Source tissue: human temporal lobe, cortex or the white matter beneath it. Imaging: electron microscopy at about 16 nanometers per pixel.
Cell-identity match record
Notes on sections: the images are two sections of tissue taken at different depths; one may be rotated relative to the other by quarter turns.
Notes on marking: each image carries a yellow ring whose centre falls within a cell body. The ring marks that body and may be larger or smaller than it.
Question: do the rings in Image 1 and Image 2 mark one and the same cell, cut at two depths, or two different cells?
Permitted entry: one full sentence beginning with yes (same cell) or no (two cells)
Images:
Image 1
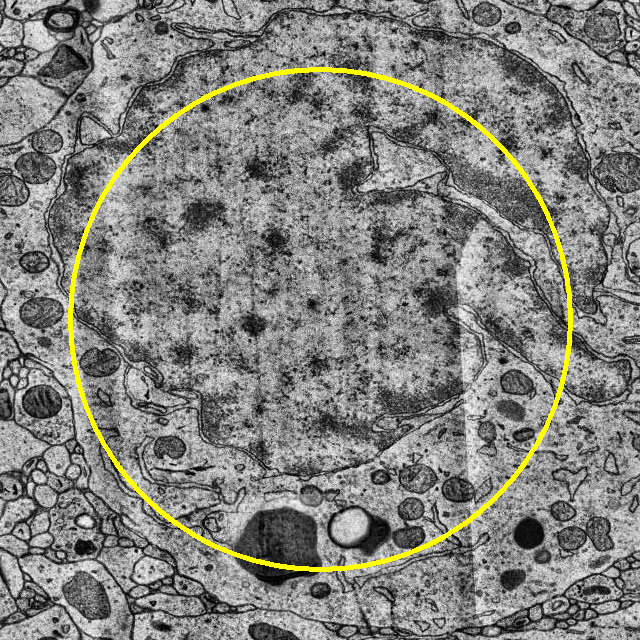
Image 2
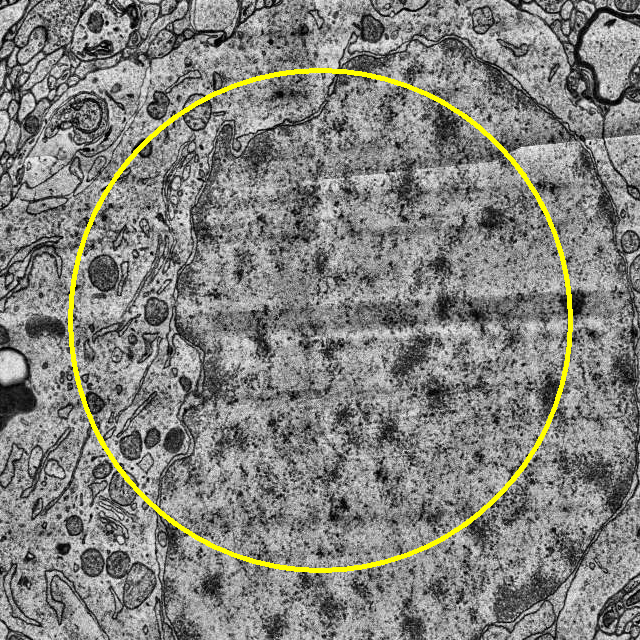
Yes, what the two rings mark is one cell.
